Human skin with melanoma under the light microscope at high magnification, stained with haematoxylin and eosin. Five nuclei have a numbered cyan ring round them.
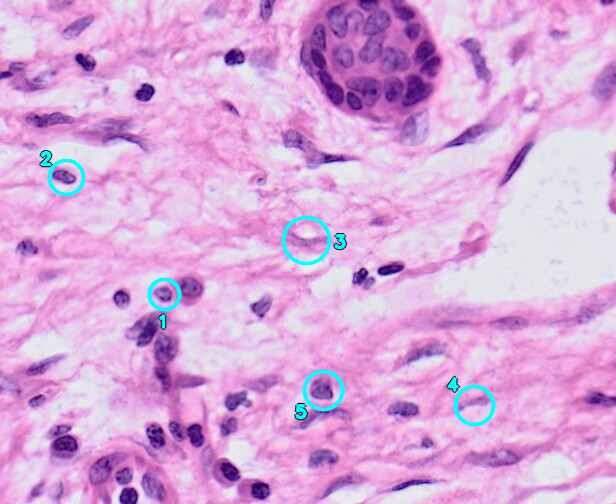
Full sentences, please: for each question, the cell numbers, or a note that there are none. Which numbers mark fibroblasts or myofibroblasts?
Identification: the cells with numbers 3 and 4 are fibroblasts or myofibroblasts.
